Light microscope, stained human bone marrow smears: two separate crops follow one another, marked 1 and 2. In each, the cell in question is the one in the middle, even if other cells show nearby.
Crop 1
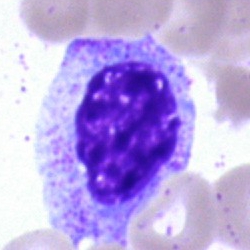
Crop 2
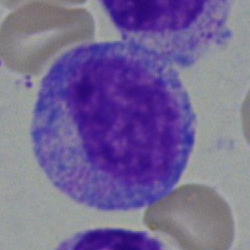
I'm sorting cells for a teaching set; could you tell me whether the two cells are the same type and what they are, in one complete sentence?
Yes, both crops show myelocytes as the central cells.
